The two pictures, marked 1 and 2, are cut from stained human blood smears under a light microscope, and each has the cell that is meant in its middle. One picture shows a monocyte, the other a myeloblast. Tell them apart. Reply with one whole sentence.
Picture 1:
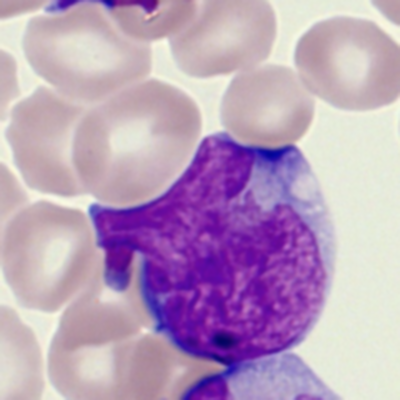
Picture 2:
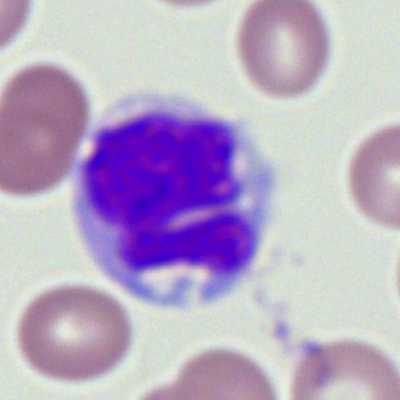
In picture 1 the cell is a myeloblast; in picture 2, a monocyte.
